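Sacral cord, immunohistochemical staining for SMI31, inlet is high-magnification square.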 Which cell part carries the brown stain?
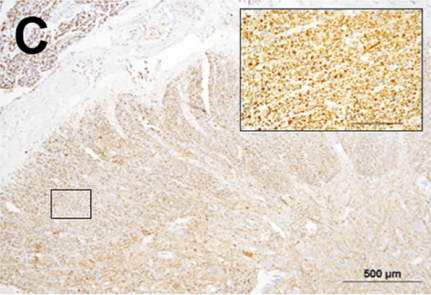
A: Axons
